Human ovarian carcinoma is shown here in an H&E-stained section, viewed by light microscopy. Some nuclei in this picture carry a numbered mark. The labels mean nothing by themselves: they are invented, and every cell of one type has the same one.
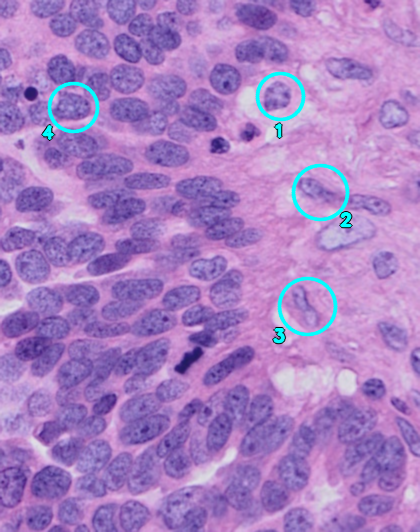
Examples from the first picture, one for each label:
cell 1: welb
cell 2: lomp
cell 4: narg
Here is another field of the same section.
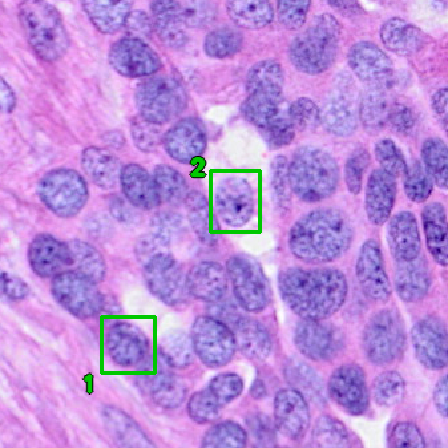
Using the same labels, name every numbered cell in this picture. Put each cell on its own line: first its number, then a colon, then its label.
1: narg
2: welb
